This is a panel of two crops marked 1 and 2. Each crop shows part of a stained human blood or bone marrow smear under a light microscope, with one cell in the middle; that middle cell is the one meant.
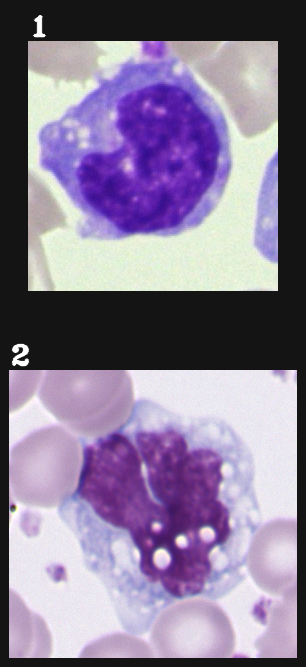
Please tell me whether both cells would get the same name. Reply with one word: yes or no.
yes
